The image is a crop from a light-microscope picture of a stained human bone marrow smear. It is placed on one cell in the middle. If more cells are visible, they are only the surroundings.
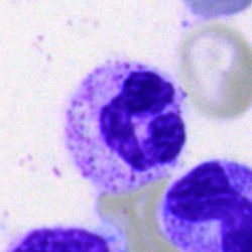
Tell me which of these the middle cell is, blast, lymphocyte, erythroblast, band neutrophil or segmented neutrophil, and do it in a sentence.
The cell around which this crop is centred is a segmented neutrophil.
